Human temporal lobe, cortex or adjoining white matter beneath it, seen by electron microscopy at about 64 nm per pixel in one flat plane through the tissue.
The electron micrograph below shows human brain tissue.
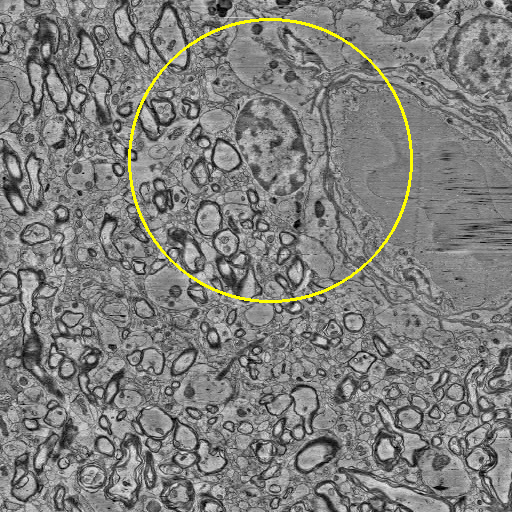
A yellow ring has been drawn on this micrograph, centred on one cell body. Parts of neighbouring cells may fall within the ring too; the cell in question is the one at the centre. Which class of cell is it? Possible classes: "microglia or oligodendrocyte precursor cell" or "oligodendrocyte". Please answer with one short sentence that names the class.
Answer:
In the centre of the ring sits a microglial cell or oligodendrocyte precursor cell.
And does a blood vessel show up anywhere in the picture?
Yes, there is one.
